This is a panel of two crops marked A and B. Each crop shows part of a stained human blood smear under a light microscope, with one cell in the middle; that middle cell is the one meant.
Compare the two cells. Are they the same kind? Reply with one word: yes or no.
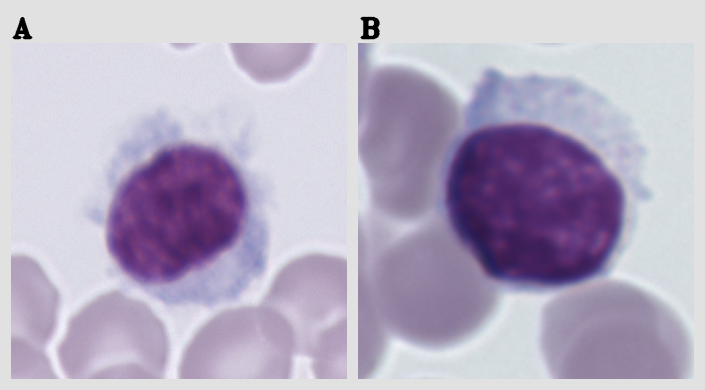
no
